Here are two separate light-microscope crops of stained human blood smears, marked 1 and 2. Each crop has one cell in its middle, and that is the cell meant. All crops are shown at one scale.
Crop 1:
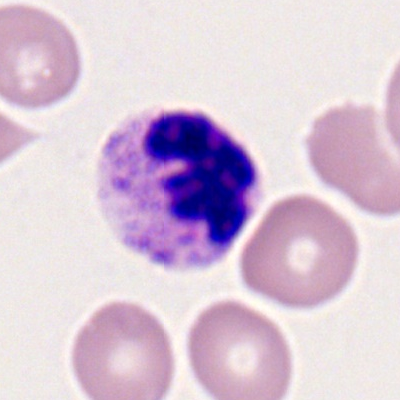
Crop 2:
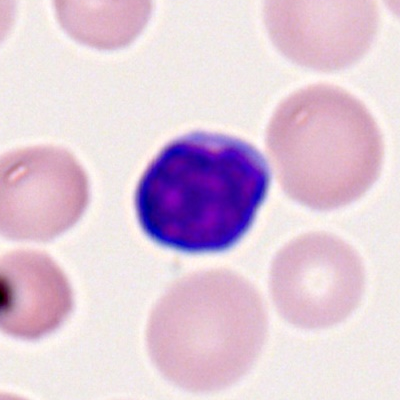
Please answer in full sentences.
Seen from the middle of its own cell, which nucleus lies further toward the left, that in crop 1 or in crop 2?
The nucleus in crop 2 lies further toward the left of its cell.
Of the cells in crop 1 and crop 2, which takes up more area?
It is the cell in crop 1, about 1.5 times as large in area as the cell in crop 2.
